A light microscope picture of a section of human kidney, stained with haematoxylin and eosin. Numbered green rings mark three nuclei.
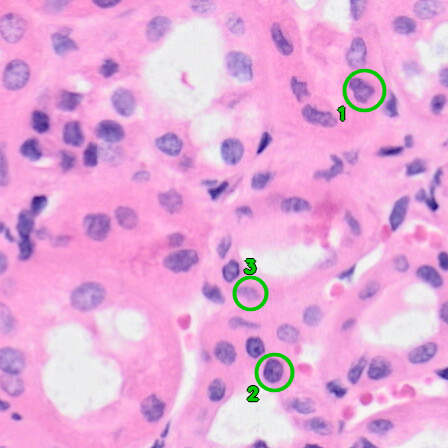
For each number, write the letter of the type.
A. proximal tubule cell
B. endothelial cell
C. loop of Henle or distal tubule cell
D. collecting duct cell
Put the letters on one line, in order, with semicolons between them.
A; D; D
